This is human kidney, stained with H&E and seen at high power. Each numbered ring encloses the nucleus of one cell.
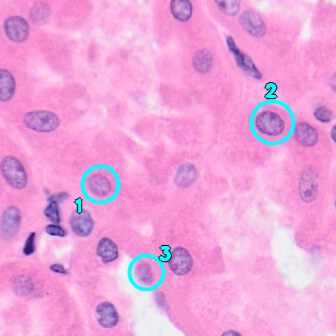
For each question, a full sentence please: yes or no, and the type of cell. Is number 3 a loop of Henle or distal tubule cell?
Yes, regarding cell number 3, it is a loop of Henle or distal tubule cell.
